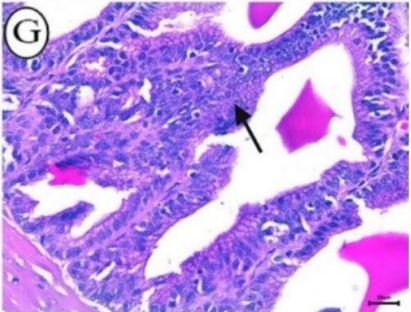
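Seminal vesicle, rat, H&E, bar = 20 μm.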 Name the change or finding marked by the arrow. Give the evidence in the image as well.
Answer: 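The arrow points to a spot where the epithelium is thickened with crowded, stacked nuclei.
Conclusion: focal epithelial hyperplasia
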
